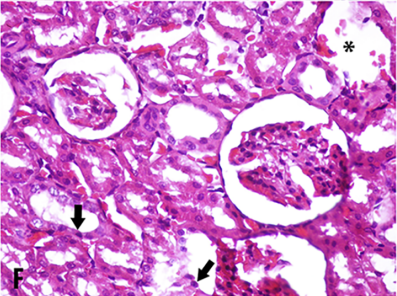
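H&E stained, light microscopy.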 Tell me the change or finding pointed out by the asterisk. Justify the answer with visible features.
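Dilated tubule. The asterisk lies in a widened, pale tubular lumen at the upper right.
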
